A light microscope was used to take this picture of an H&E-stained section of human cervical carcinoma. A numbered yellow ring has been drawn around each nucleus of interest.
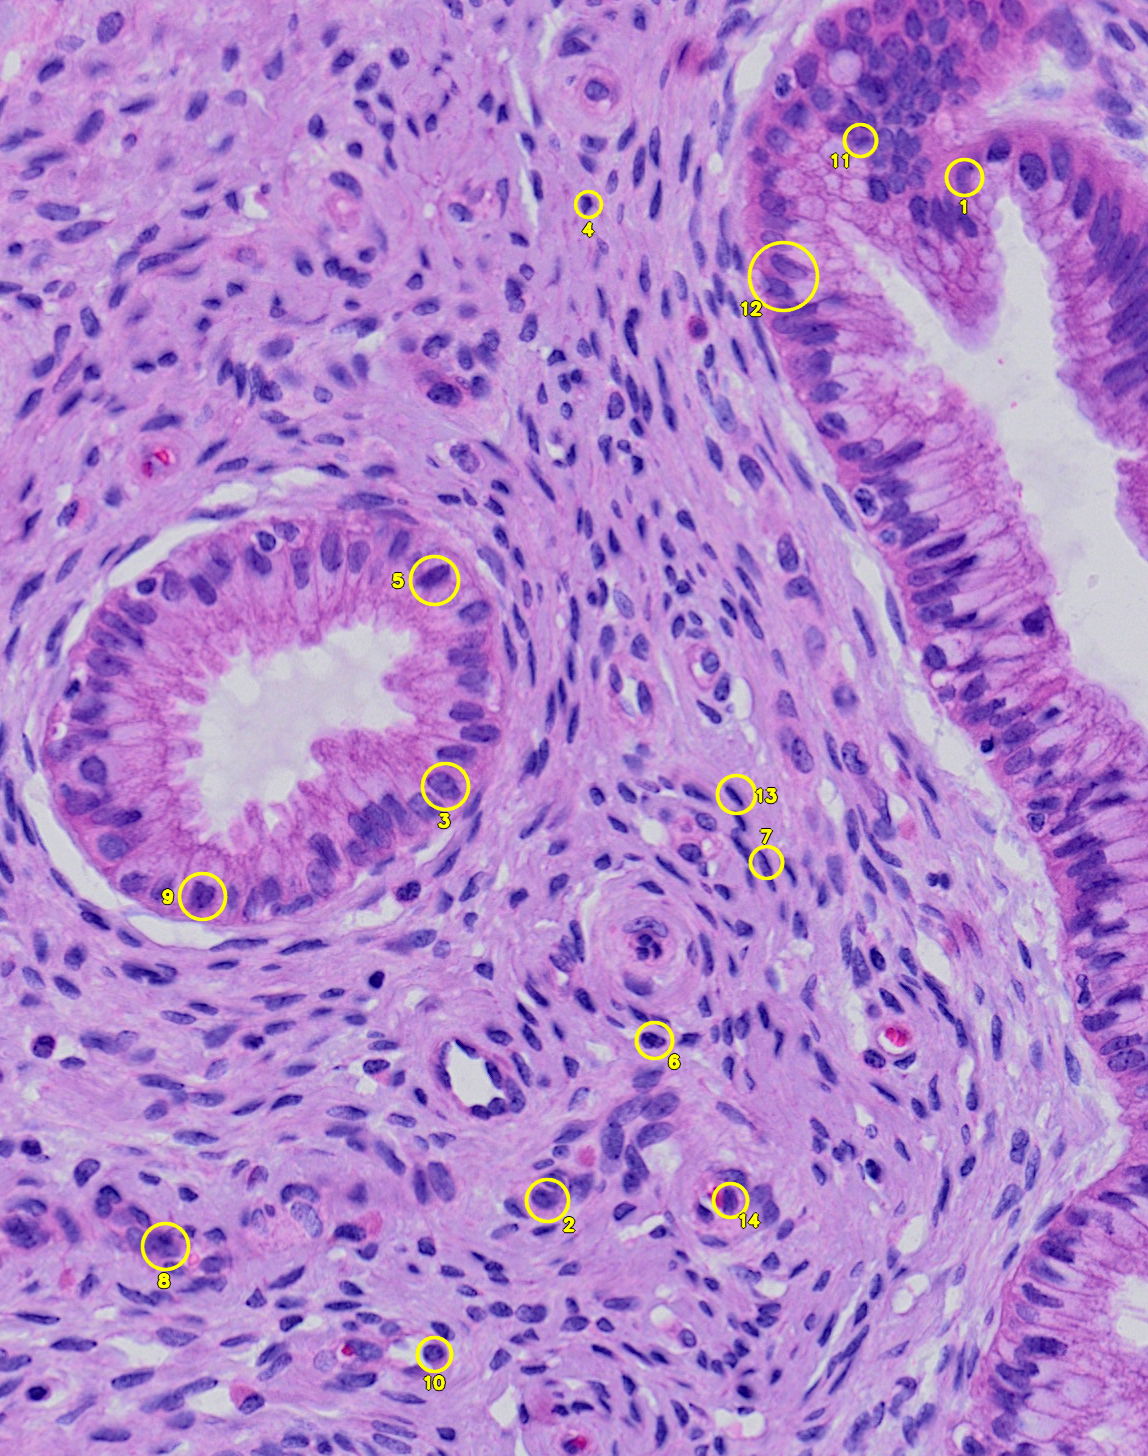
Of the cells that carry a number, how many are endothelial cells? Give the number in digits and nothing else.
4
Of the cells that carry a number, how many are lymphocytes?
1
